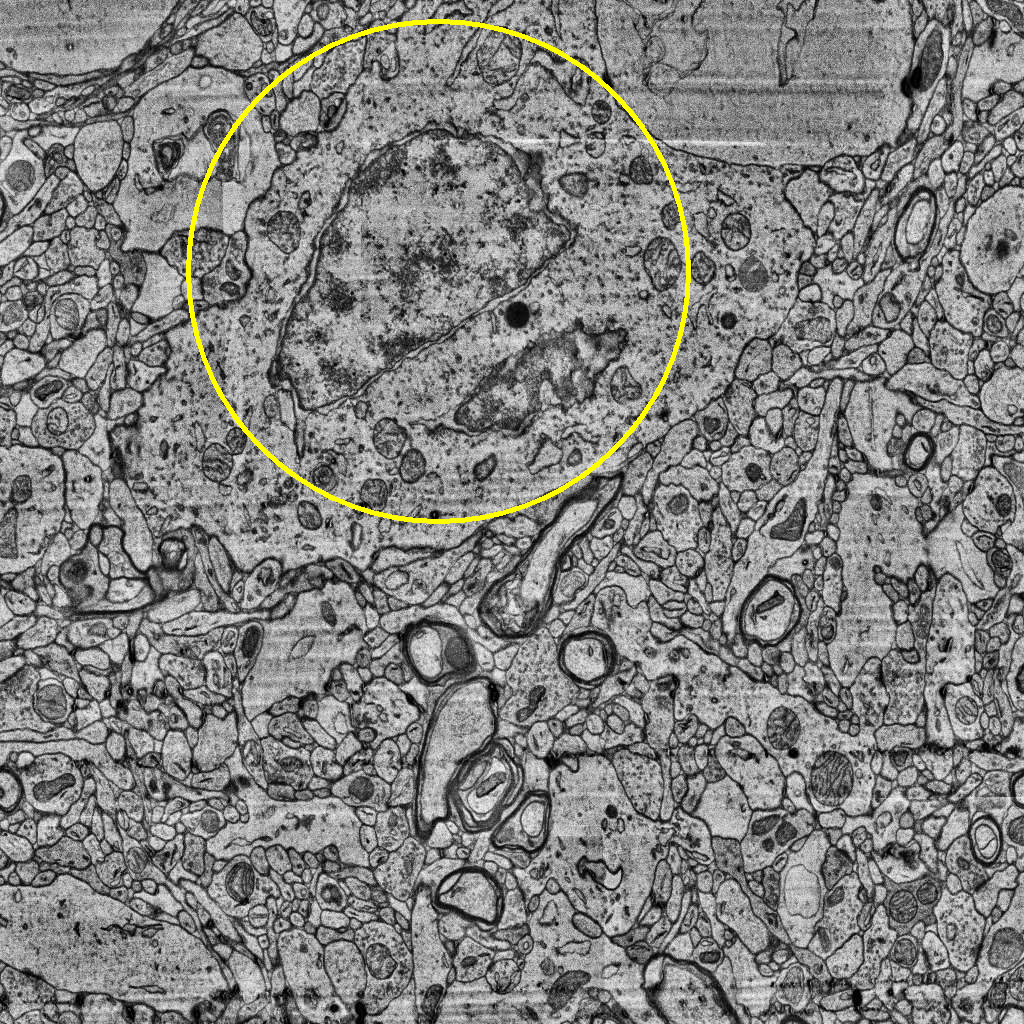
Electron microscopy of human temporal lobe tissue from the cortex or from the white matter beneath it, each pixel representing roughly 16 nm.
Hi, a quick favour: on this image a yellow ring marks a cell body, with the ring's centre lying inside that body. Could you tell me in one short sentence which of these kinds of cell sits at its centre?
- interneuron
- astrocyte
The ring's centre lies in an interneuron.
